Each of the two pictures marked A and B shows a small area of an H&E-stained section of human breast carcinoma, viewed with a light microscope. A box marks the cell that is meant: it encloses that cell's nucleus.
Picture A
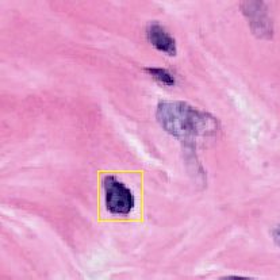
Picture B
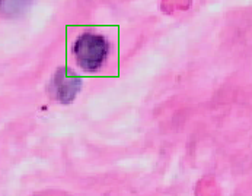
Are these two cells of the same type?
yes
